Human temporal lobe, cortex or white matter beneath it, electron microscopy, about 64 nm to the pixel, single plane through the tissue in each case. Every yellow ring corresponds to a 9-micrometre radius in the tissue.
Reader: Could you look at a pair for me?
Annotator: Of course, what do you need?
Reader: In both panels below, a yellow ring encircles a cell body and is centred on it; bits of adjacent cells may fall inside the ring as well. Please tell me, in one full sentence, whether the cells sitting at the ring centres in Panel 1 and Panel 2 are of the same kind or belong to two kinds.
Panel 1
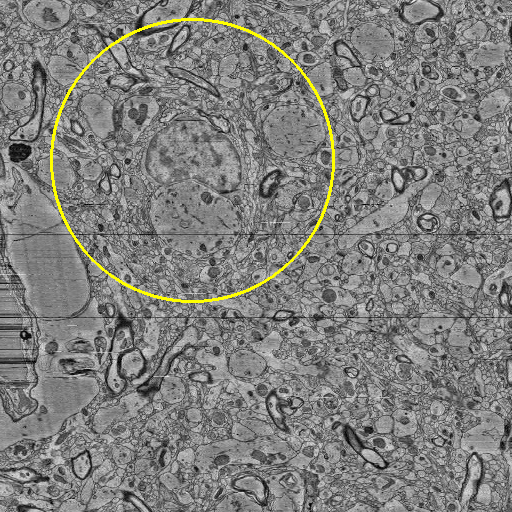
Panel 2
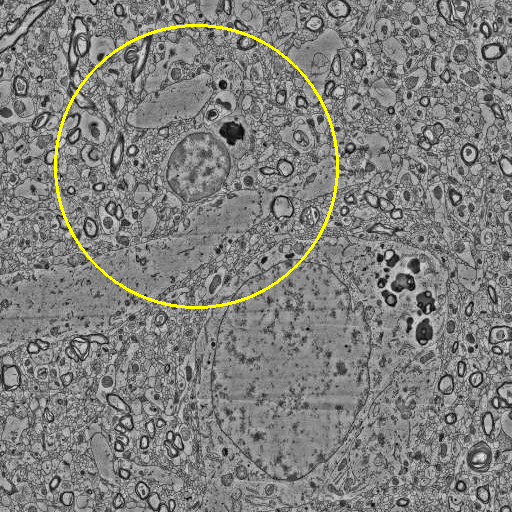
The cell at the ring's centre in Panel 1 and the one in Panel 2 are of the same kind.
